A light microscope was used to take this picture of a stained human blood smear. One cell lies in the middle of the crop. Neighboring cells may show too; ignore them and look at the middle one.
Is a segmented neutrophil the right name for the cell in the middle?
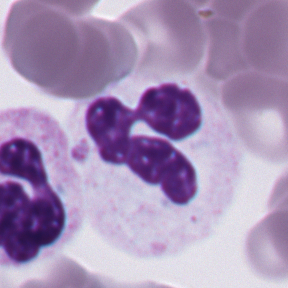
yes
